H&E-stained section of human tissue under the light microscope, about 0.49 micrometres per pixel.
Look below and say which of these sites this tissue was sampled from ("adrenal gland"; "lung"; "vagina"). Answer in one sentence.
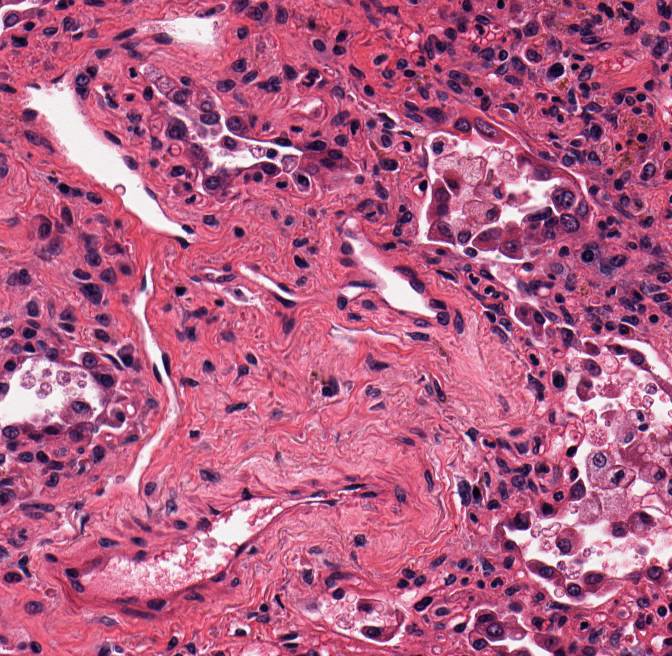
The site this tissue was sampled from is the lung.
